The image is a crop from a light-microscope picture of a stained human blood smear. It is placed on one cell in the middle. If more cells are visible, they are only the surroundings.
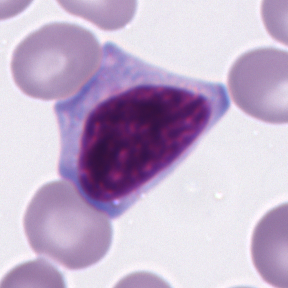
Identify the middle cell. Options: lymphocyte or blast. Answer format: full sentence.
The cell shown in the center of this light-microscope crop is a lymphocyte.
